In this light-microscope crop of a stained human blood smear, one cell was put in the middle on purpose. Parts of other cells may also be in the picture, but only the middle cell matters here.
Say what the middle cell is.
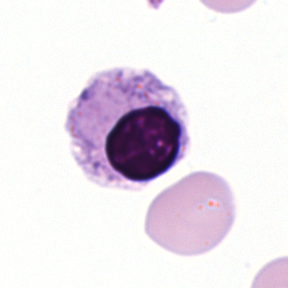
normoblast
